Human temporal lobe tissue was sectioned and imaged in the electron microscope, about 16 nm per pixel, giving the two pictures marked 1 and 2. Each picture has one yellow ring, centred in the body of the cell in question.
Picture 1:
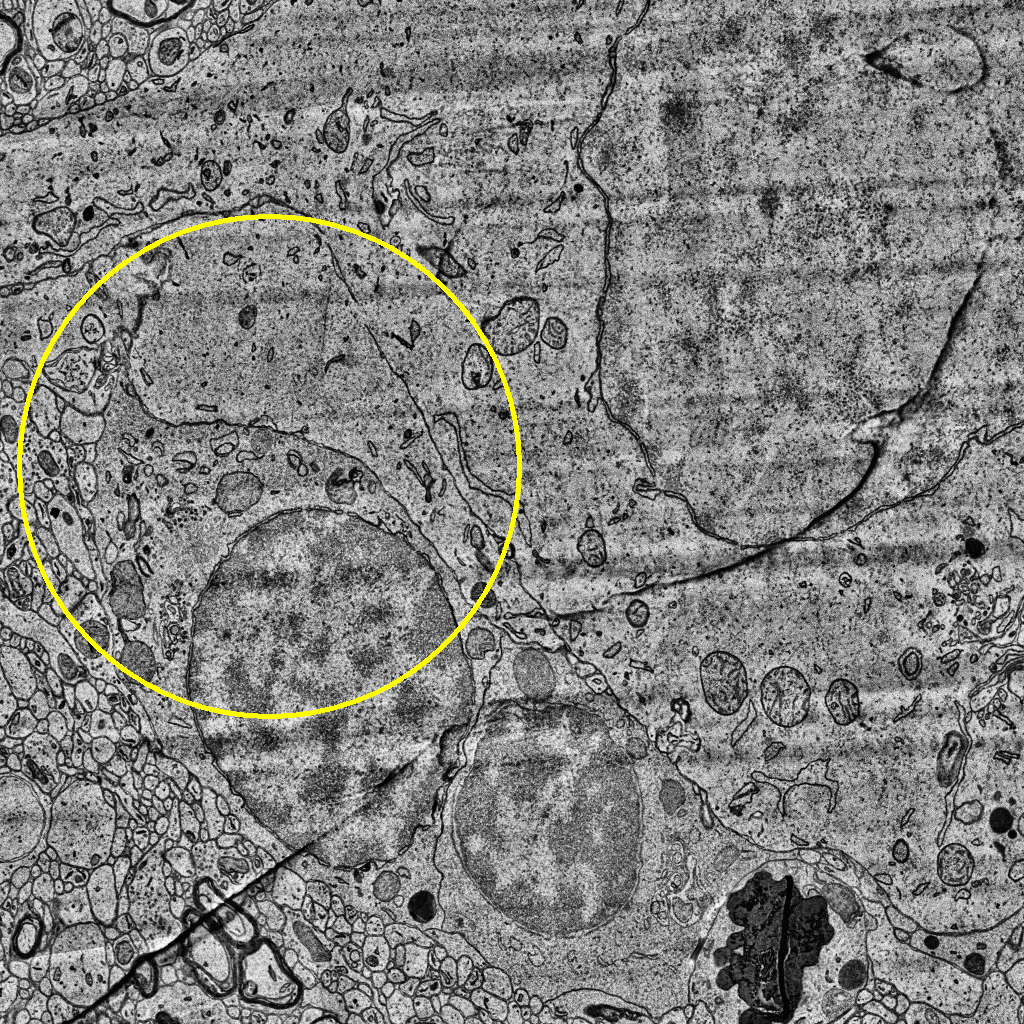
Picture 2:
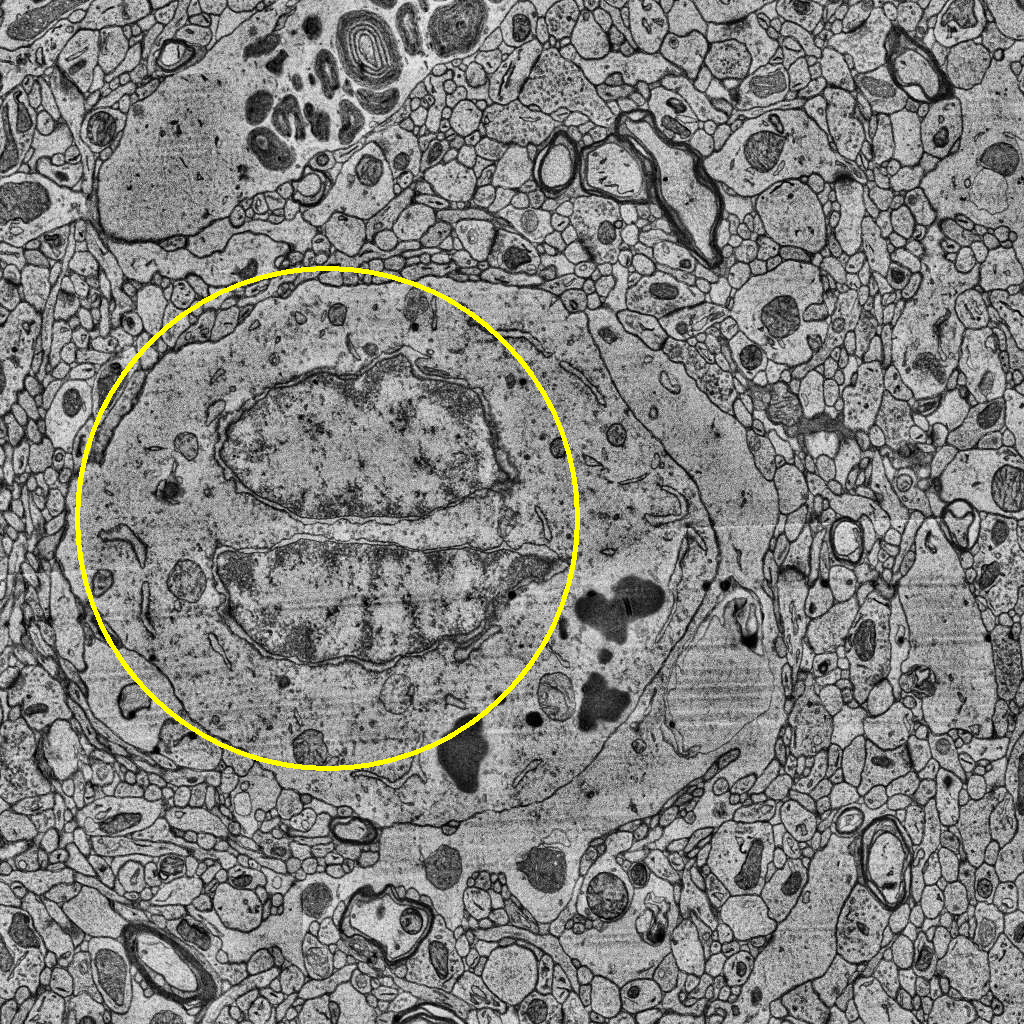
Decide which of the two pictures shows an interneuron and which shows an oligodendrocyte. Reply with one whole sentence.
Picture 1 shows an oligodendrocyte and picture 2 shows an interneuron.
